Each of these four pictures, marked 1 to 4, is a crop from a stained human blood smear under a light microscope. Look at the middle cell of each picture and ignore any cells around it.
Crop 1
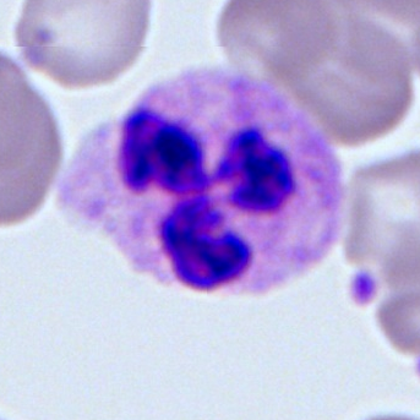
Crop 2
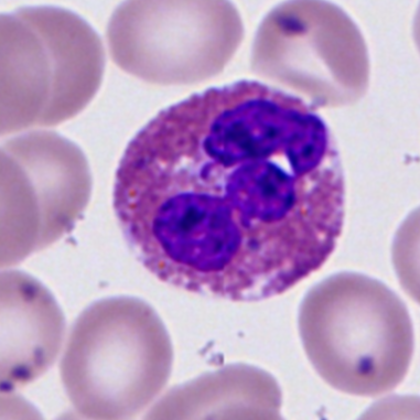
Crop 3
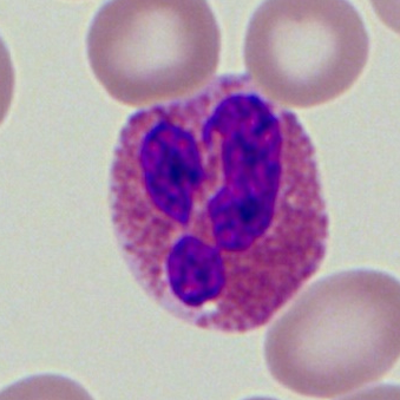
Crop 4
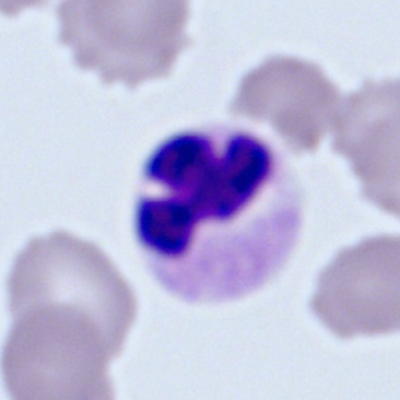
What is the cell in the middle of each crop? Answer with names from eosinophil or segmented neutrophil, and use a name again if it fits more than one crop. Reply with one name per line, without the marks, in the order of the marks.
segmented neutrophil
eosinophil
eosinophil
segmented neutrophil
